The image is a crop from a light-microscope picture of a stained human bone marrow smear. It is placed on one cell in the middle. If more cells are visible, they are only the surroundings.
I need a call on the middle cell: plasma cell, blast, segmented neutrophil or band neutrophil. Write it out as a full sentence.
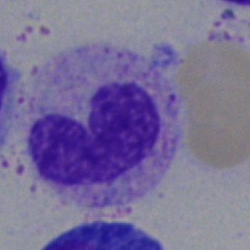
For this crop, the central cell is a band neutrophil.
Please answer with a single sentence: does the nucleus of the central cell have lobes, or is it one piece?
One compact mass makes up the whole nucleus, round, oval or kidney-shaped.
